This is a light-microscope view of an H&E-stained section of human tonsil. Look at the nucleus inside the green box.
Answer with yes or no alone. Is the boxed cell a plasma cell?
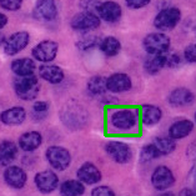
yes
